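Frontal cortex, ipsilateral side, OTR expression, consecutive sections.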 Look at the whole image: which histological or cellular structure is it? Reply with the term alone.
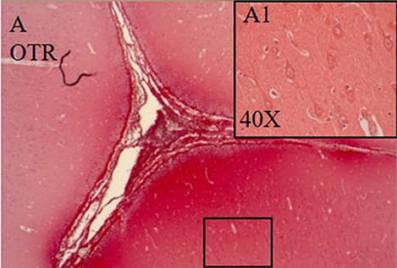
sulcus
